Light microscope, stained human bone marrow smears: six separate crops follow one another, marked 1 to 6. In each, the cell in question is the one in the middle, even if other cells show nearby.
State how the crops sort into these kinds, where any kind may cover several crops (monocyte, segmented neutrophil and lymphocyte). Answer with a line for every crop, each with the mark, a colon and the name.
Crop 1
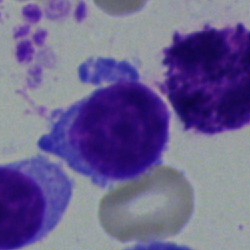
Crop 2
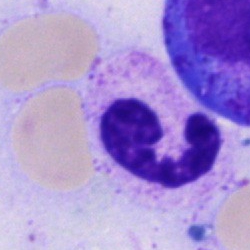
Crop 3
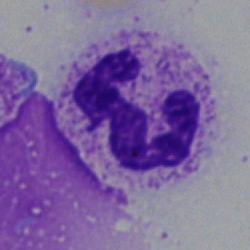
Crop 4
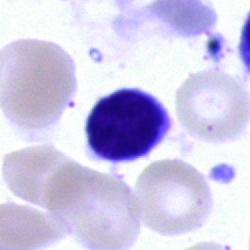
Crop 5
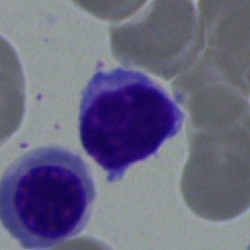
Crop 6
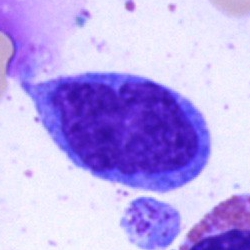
1: lymphocyte
2: segmented neutrophil
3: segmented neutrophil
4: lymphocyte
5: lymphocyte
6: monocyte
